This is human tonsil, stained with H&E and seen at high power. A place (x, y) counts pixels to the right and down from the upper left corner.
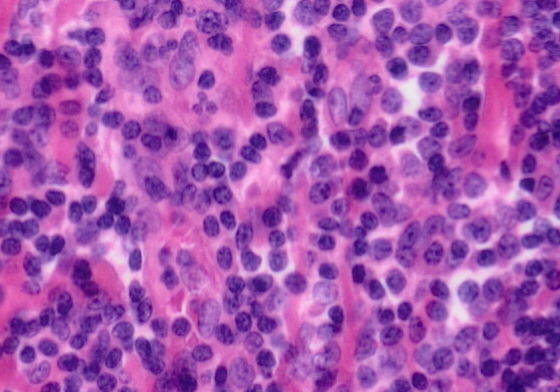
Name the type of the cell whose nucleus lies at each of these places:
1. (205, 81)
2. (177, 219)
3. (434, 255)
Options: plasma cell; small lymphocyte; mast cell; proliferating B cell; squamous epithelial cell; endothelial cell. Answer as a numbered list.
1. endothelial cell
2. endothelial cell
3. plasma cell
